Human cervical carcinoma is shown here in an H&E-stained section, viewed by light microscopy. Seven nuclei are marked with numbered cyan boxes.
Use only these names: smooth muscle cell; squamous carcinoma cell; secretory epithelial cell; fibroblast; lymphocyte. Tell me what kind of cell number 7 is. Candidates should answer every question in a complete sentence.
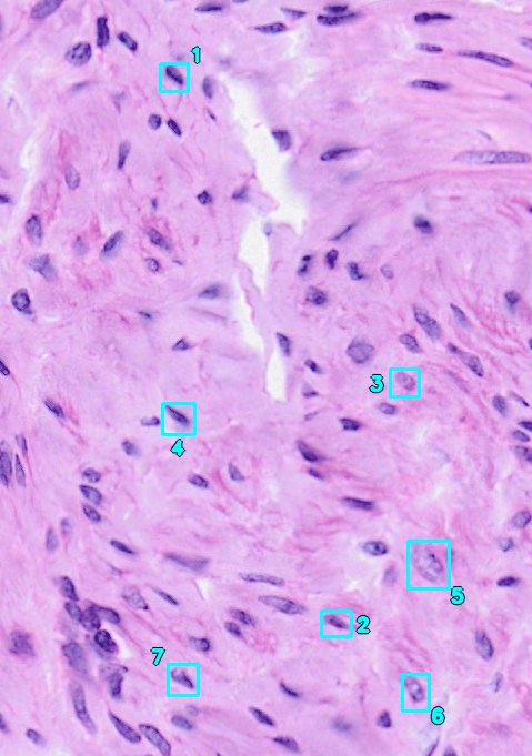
Cell 7 should be recorded as a fibroblast.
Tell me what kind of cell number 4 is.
Nucleus 4 in this section belongs to a fibroblast.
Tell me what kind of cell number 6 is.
Recognised here as a smooth muscle cell is the cell numbered 6.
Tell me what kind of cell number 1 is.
The numbered cell 1 in this field is a fibroblast.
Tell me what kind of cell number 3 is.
As for number 3, that cell is a smooth muscle cell.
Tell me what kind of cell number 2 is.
Cell 2, as marked in the section, is a smooth muscle cell.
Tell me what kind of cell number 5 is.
The cell referred to as 5 is a smooth muscle cell.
